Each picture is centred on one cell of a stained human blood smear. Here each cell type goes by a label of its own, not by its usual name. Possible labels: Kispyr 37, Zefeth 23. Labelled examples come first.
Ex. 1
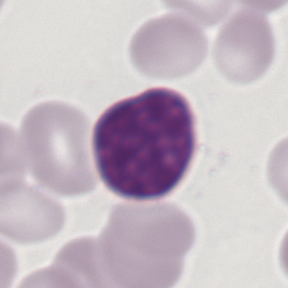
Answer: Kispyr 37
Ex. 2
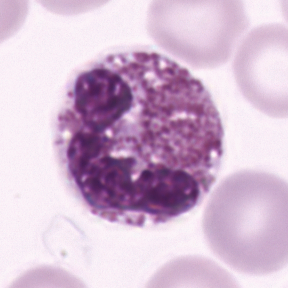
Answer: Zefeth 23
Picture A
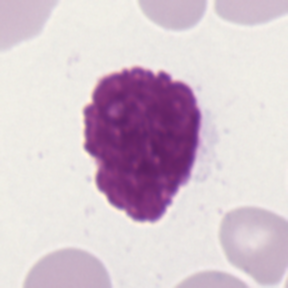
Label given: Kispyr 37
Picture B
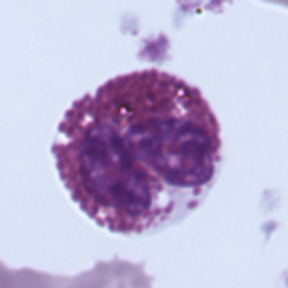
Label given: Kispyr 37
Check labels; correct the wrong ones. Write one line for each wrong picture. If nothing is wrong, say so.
B: Zefeth 23, not Kispyr 37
